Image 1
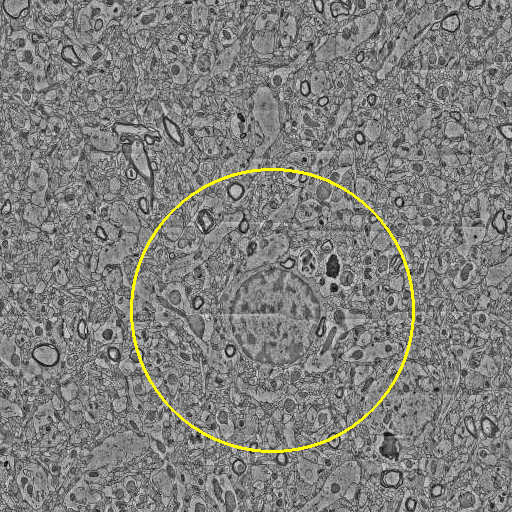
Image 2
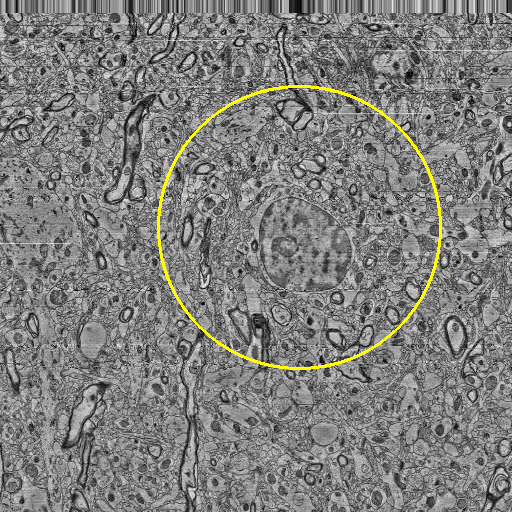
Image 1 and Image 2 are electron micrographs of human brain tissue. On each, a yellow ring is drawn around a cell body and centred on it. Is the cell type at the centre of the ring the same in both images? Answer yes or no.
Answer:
no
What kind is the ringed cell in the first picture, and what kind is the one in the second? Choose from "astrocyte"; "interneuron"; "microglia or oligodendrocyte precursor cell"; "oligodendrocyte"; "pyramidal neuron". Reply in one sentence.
The first cell is an oligodendrocyte; the second is a microglial cell or oligodendrocyte precursor cell.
